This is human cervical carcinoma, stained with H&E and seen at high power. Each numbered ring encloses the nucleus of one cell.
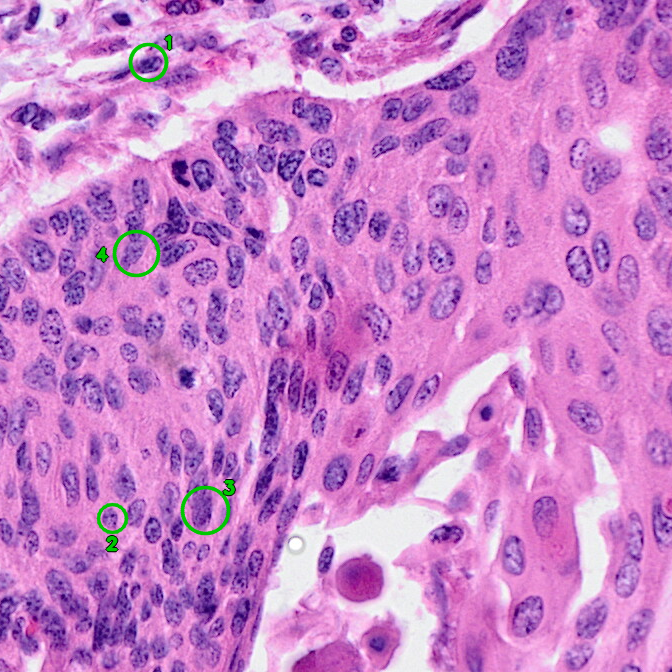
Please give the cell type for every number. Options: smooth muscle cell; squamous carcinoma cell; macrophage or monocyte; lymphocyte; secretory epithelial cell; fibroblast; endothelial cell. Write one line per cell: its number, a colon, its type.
1: lymphocyte
2: squamous carcinoma cell
3: squamous carcinoma cell
4: squamous carcinoma cell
